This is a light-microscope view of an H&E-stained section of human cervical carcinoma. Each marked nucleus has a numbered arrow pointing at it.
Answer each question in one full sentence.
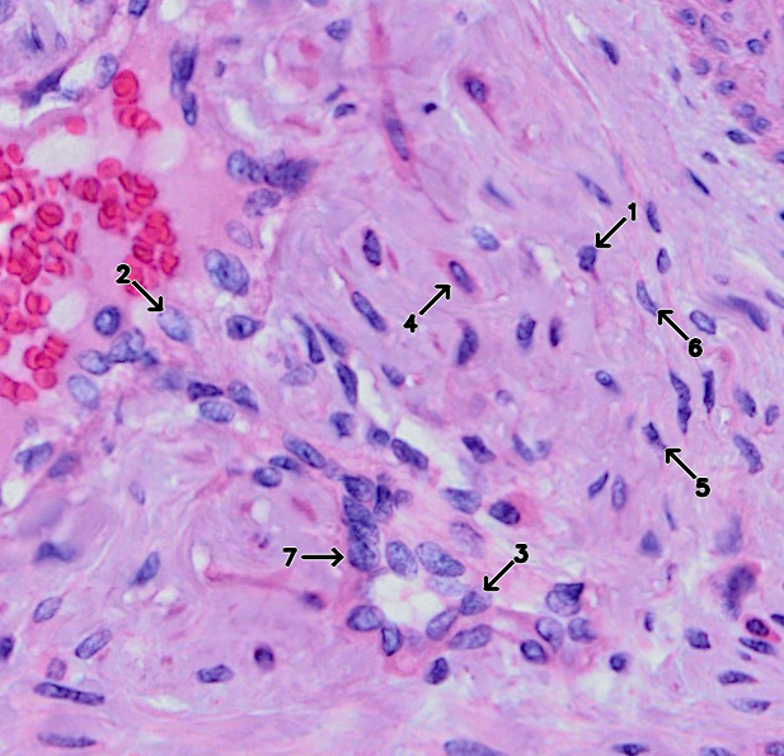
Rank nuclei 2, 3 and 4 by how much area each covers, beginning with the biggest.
Going from the biggest nucleus down to the smallest gives 2, 3, 4.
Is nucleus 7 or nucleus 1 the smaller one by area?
Nucleus 1 is the smaller one; nucleus 7 covers about 2 times its area.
